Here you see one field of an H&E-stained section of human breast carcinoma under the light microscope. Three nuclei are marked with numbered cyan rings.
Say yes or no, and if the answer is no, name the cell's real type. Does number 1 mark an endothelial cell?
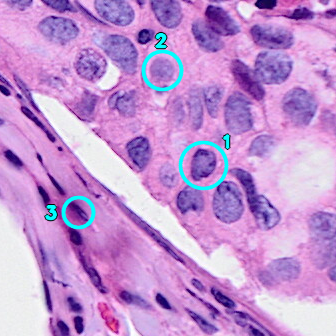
No, it is a carcinoma cell.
